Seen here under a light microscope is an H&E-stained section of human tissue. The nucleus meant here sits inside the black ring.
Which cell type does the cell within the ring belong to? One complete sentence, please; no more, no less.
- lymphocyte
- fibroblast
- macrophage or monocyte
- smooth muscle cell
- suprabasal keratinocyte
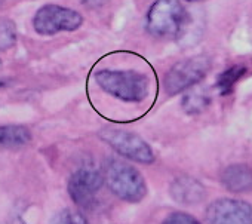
In this section of tissue, the cell within the ring is a macrophage or monocyte.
